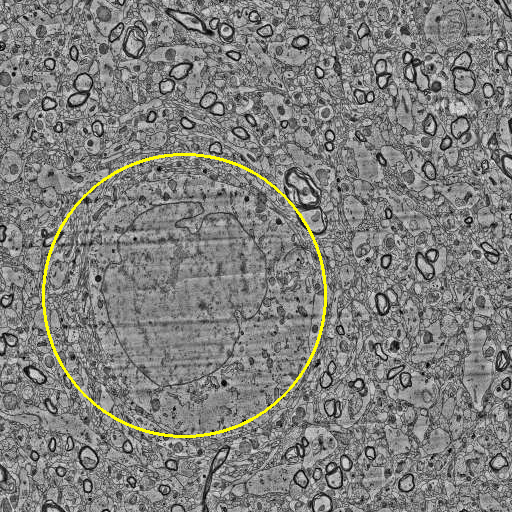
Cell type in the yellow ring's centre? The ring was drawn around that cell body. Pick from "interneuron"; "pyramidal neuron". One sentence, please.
The ringed cell body is that of a pyramidal neuron.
